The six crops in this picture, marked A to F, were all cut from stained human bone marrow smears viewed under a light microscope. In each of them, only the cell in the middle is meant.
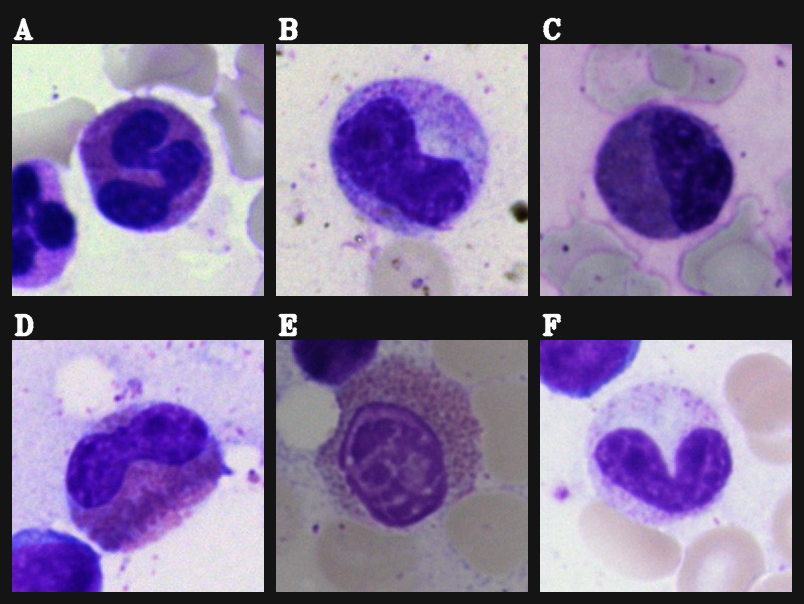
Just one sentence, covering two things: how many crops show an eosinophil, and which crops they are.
As counted, four crops show eosinophils: A, C, D and E.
